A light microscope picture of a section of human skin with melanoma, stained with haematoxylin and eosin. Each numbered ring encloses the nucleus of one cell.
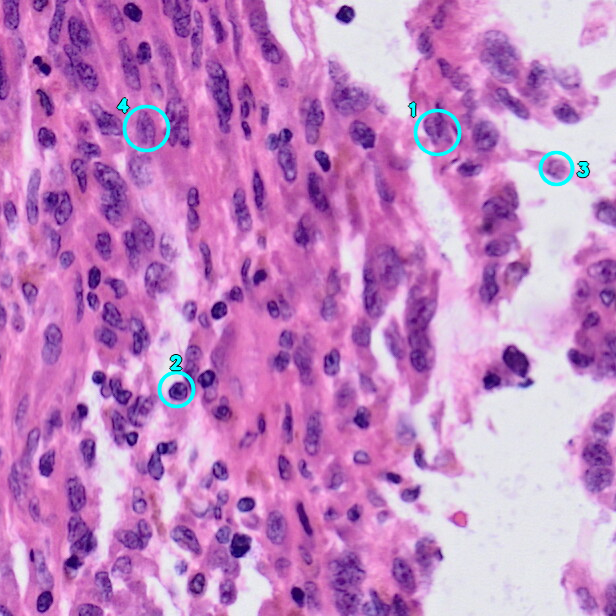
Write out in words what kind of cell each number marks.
Cell 1 is a melanoma cell, cell 2 is a lymphocyte, cell 3 is a melanoma cell and cell 4 is a melanoma cell.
